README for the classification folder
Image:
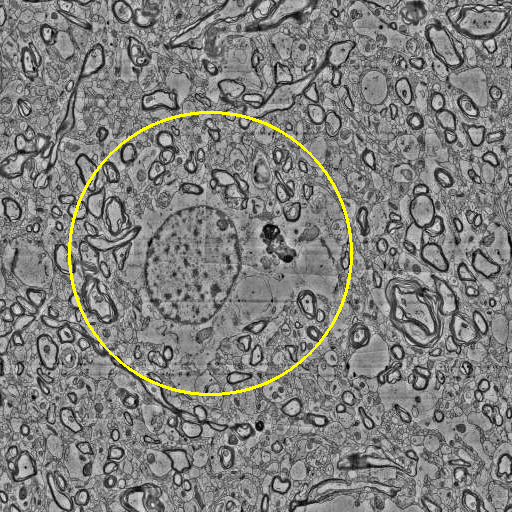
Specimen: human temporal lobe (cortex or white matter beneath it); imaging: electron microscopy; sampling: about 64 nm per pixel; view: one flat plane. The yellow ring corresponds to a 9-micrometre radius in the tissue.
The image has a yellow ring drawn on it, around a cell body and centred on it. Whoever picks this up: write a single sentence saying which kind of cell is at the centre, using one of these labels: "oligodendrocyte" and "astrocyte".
This cell body is that of an astrocyte.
